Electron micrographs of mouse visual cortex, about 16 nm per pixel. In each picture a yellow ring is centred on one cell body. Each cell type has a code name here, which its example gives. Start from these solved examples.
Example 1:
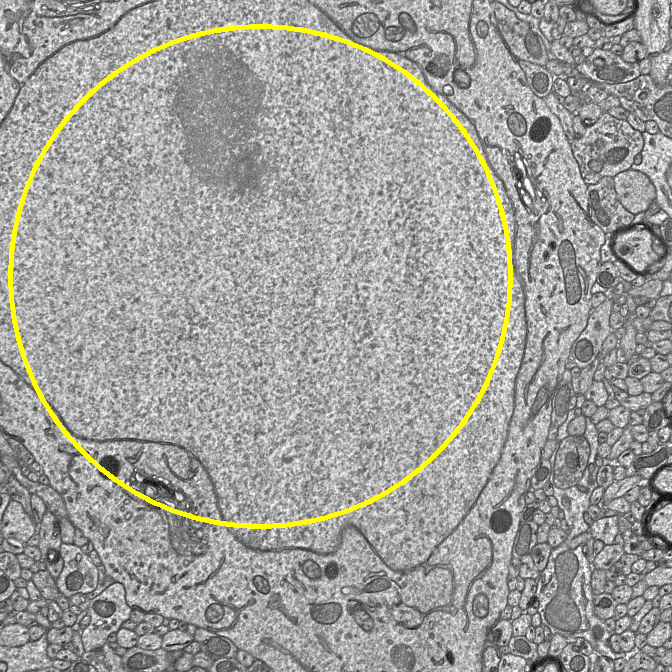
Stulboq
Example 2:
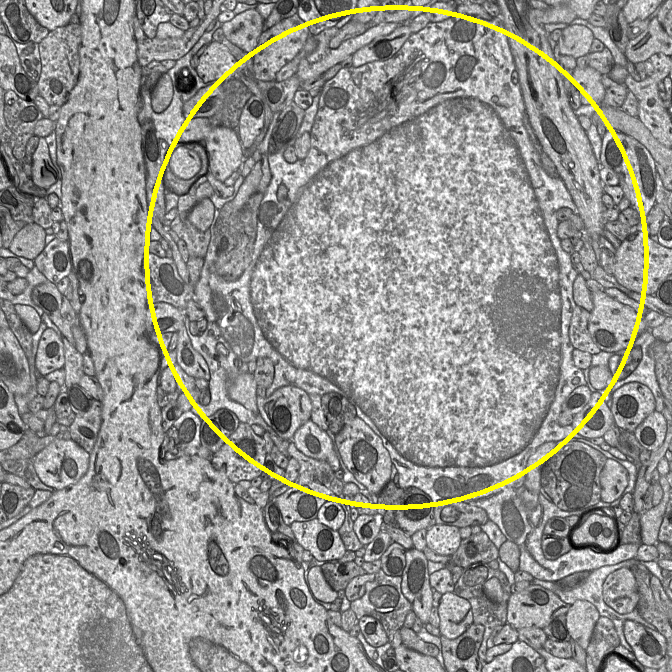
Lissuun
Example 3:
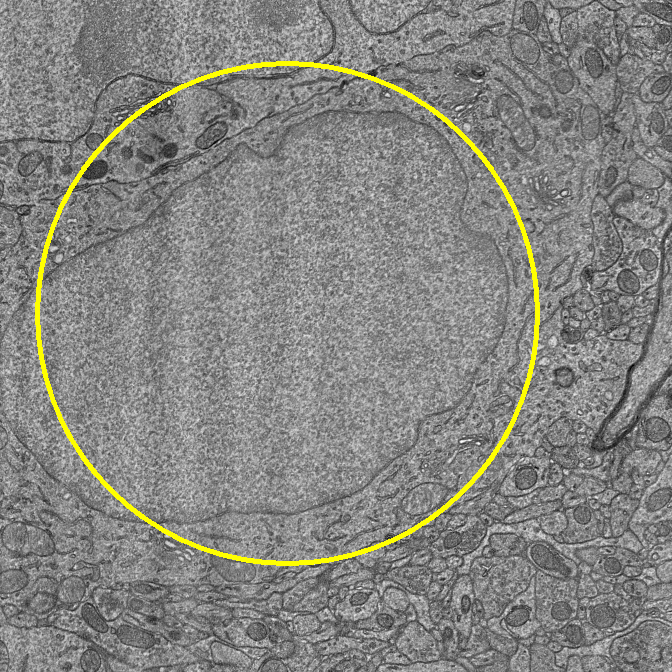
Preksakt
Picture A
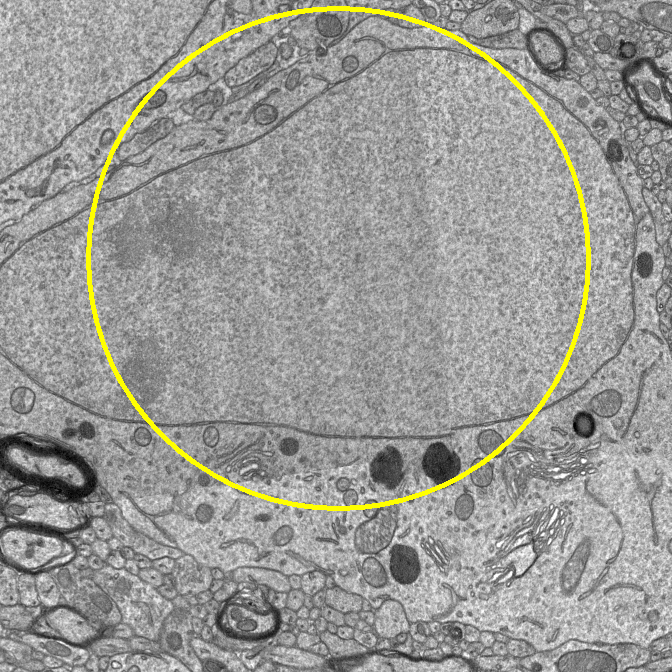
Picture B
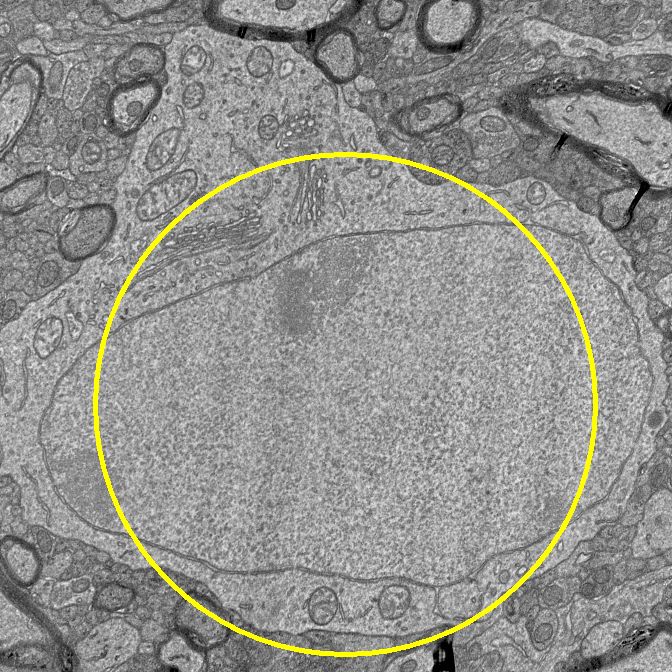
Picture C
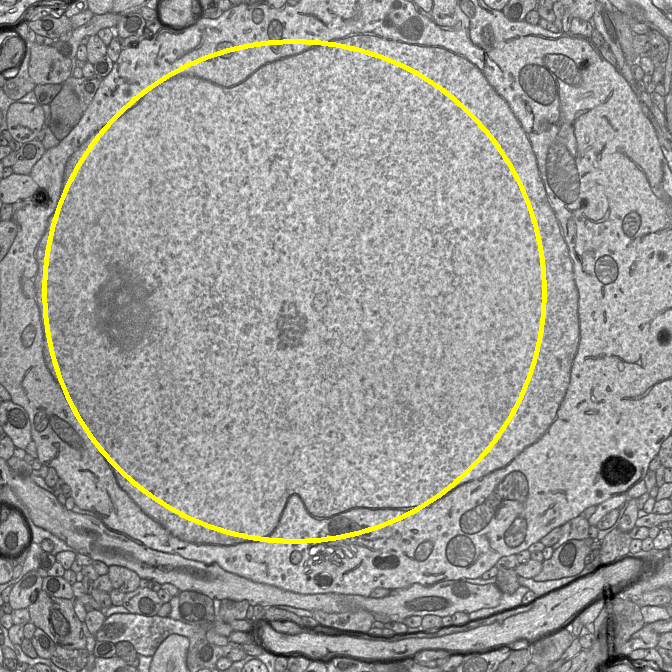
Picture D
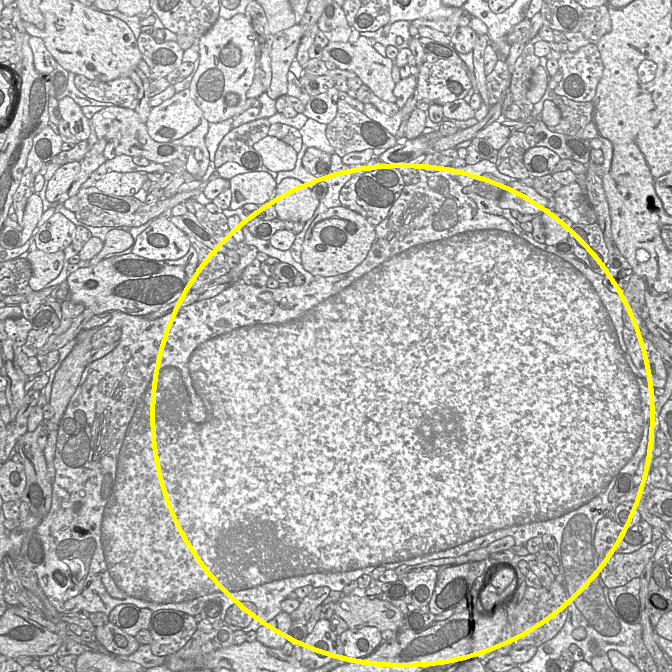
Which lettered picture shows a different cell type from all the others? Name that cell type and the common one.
D differs and shows Lissuun; the others show Stulboq.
